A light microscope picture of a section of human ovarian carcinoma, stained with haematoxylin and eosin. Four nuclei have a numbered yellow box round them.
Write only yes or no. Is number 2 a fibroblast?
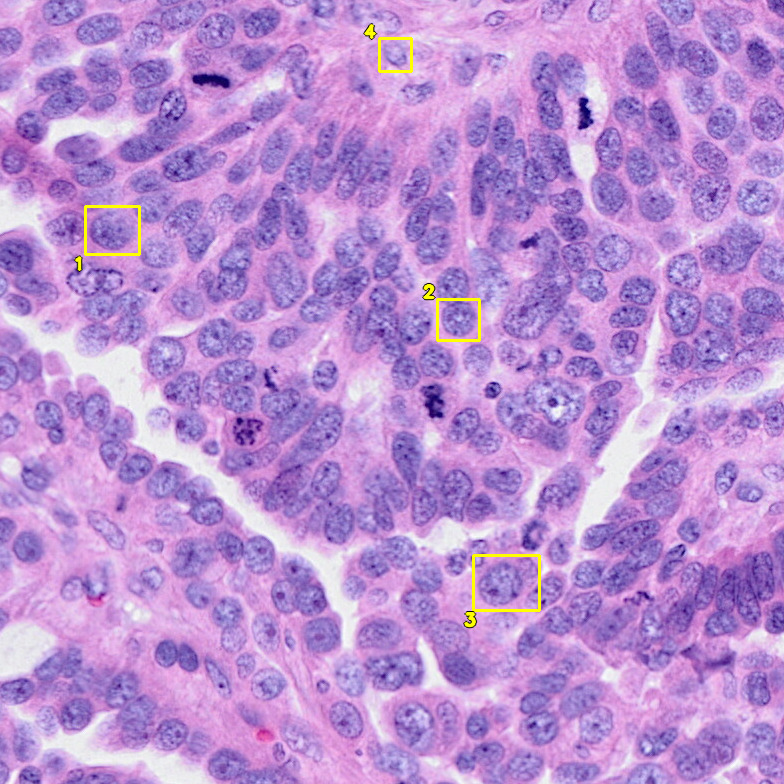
no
